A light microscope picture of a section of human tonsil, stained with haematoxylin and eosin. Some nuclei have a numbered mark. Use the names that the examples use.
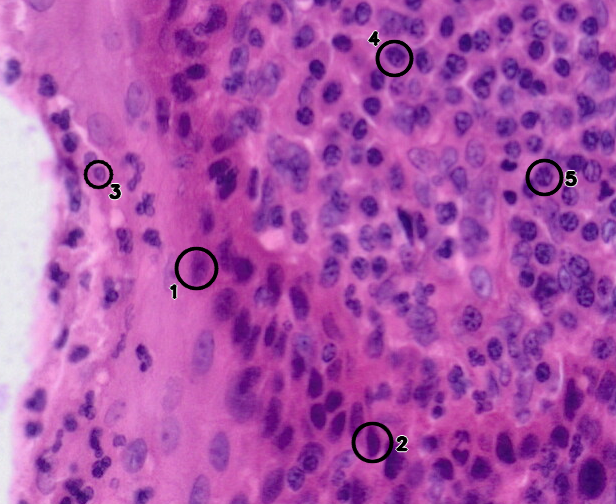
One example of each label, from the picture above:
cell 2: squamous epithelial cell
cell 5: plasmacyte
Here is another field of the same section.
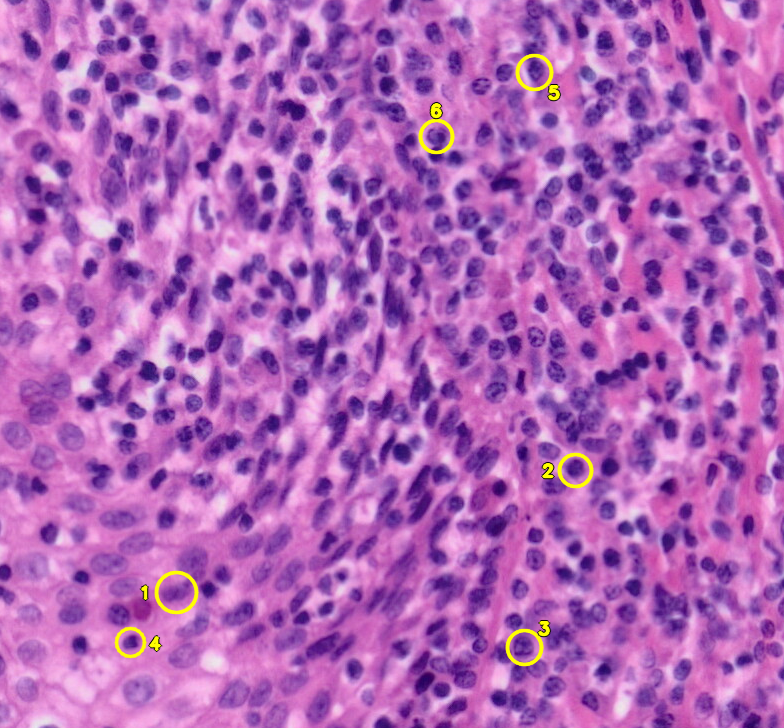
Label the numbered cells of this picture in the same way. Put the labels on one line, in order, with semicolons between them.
squamous epithelial cell; plasmacyte; plasmacyte; squamous epithelial cell; plasmacyte; plasmacyte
